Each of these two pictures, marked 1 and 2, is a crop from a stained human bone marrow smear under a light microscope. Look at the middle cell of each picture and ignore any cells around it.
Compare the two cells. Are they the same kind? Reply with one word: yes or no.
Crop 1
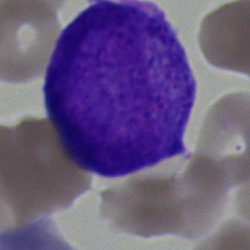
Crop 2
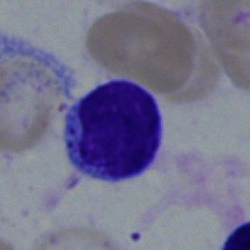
no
